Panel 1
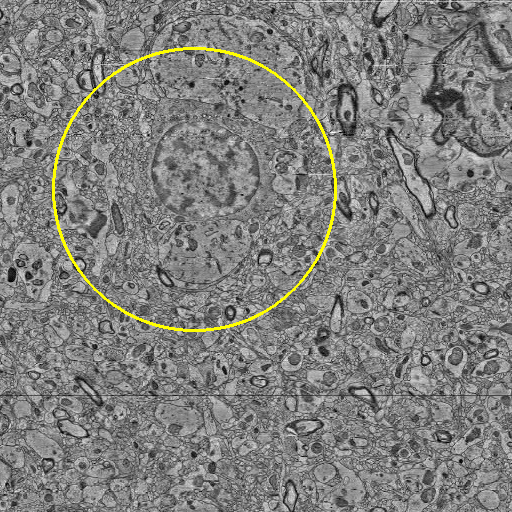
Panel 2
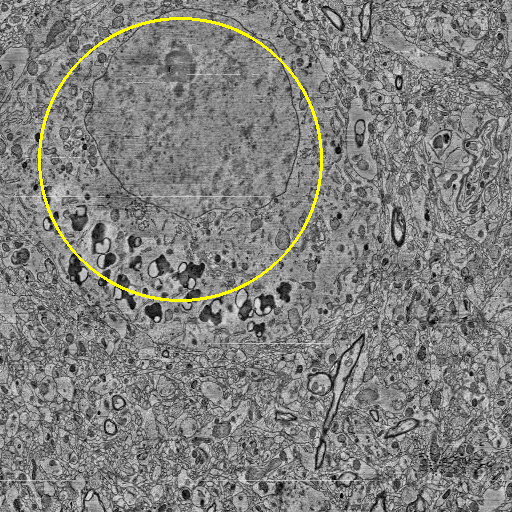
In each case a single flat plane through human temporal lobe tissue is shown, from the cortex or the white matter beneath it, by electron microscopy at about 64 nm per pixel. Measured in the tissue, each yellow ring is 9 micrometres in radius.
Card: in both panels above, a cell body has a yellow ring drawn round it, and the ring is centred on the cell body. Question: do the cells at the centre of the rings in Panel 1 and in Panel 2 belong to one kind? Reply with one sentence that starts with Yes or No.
No, the cells centred in the rings of Panel 1 and Panel 2 are two kinds of cell.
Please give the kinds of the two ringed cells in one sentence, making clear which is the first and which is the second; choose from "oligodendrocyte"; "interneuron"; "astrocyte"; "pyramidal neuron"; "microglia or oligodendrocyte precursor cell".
In the second picture the ringed cell is a pyramidal neuron; in the first it is an oligodendrocyte.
